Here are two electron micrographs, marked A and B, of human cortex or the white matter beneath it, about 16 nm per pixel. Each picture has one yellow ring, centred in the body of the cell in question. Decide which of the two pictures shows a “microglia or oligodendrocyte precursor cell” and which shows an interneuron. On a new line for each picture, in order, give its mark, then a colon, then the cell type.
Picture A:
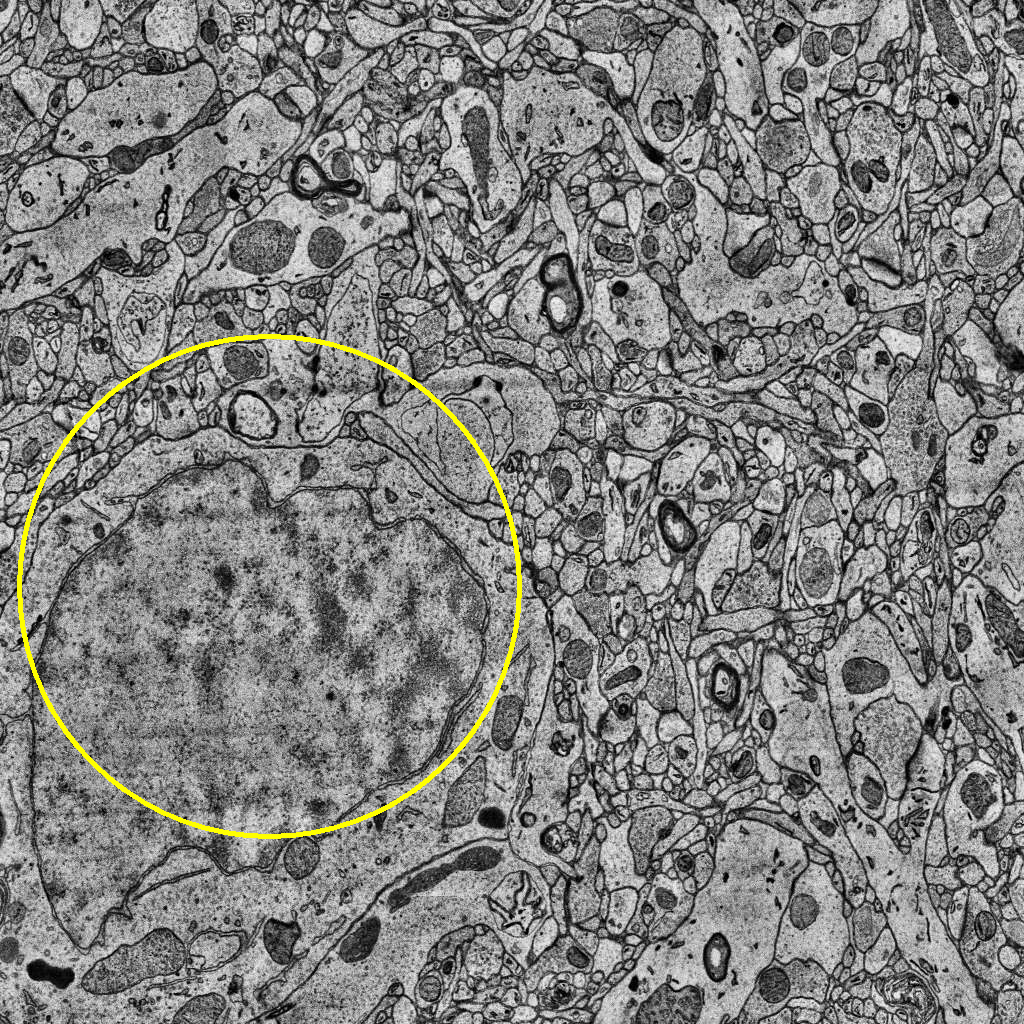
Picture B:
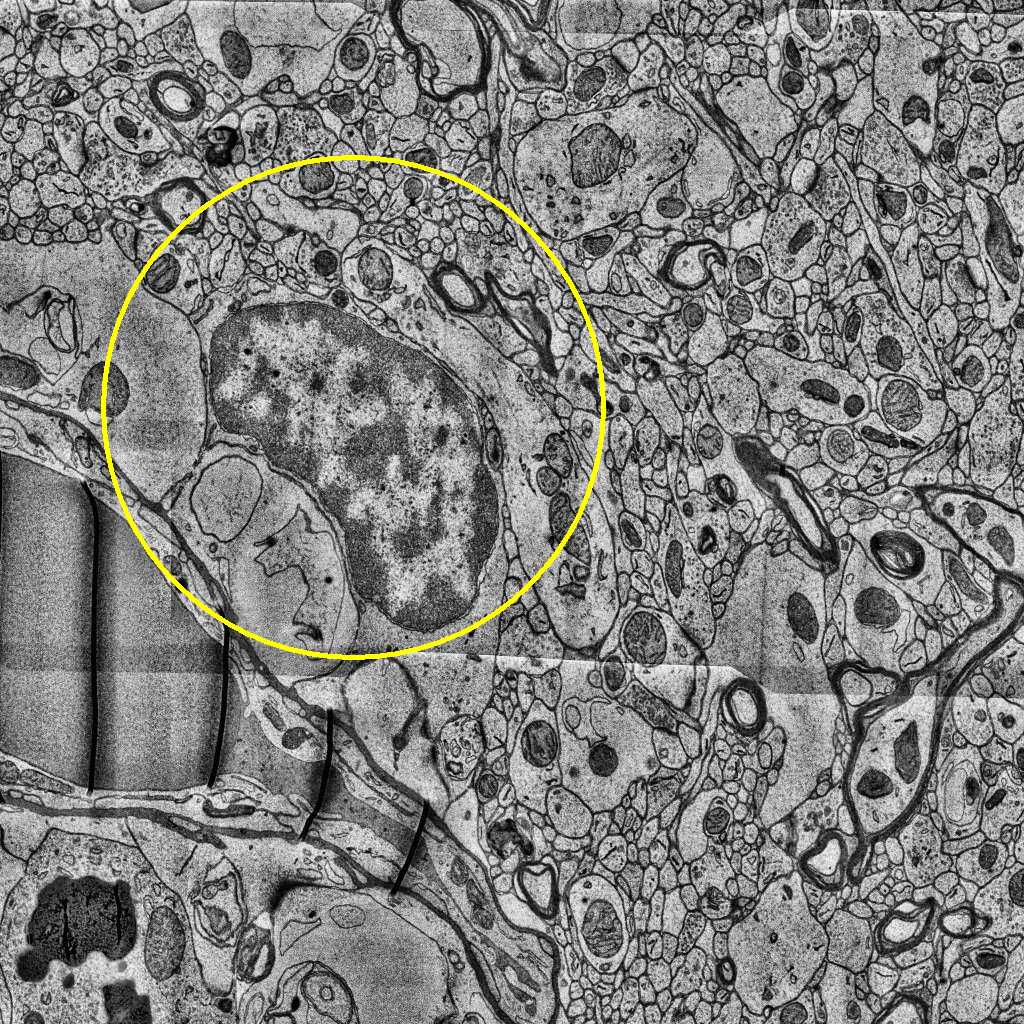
A: interneuron
B: microglia or oligodendrocyte precursor cell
